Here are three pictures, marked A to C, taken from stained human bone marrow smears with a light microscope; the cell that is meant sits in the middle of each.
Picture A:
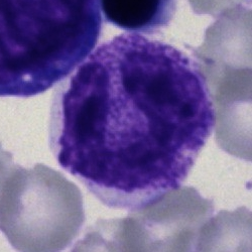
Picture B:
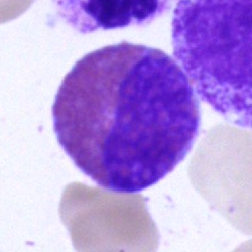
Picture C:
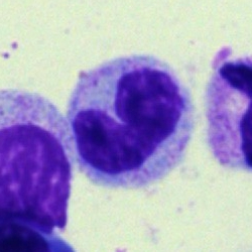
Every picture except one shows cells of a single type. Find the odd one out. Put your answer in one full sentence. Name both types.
Picture B is the odd one out: it shows an eosinophil, while the others show band neutrophils.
